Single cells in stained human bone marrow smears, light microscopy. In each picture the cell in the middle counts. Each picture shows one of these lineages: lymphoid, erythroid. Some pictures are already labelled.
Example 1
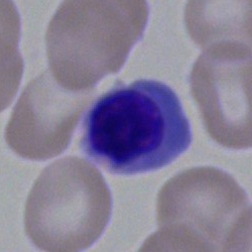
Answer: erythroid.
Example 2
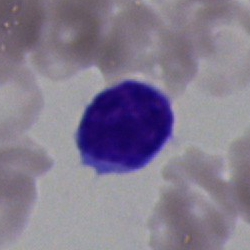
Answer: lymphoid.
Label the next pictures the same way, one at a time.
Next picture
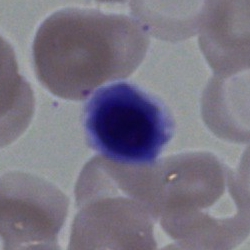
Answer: erythroid.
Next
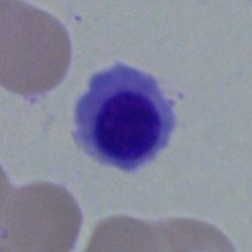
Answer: erythroid.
